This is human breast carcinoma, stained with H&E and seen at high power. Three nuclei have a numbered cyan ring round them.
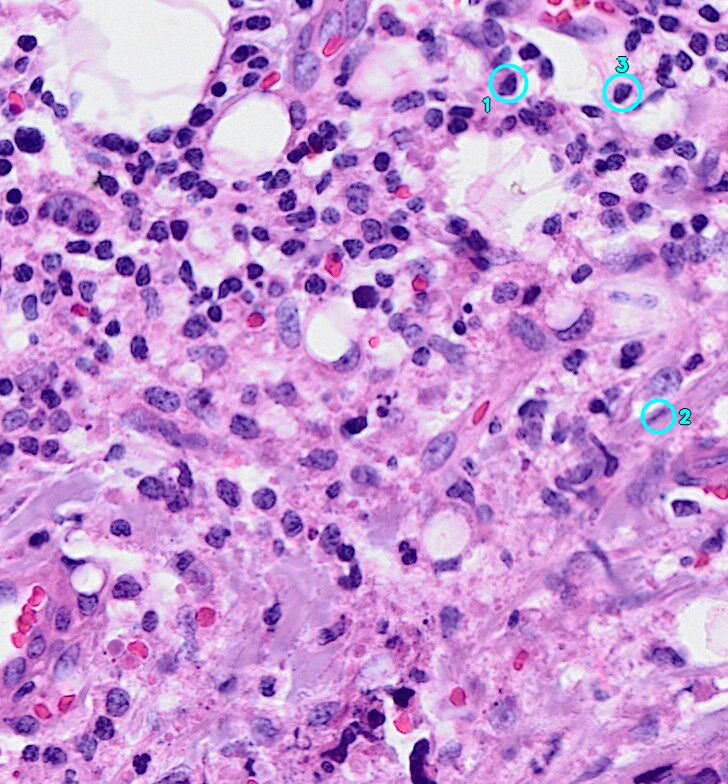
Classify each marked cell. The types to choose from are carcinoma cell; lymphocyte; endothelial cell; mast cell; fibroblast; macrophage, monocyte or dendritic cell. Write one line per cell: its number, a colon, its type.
1: lymphocyte
2: fibroblast
3: lymphocyte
